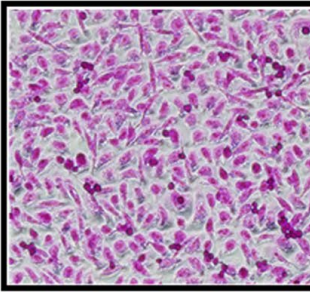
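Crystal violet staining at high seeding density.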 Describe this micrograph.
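Many cells are elongated or spindle-shaped, with thin tapering extensions reaching toward their neighbours. Other cells are polygonal and flattened, with a darker oval nucleus and lighter surrounding cytoplasm. Scattered among them are small, rounded, deeply stained dark purple cells. The spread cells lie loosely side by side with pale gaps between them rather than forming tight clusters.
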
